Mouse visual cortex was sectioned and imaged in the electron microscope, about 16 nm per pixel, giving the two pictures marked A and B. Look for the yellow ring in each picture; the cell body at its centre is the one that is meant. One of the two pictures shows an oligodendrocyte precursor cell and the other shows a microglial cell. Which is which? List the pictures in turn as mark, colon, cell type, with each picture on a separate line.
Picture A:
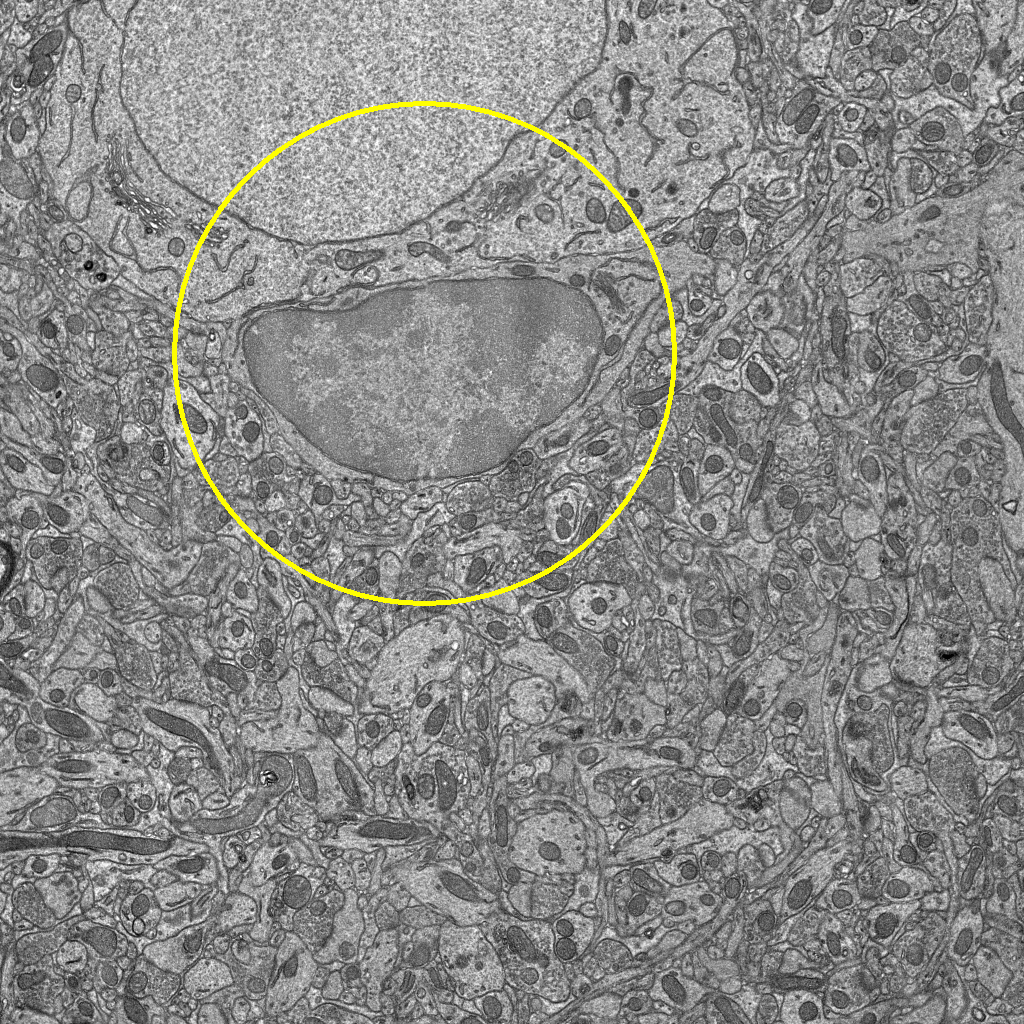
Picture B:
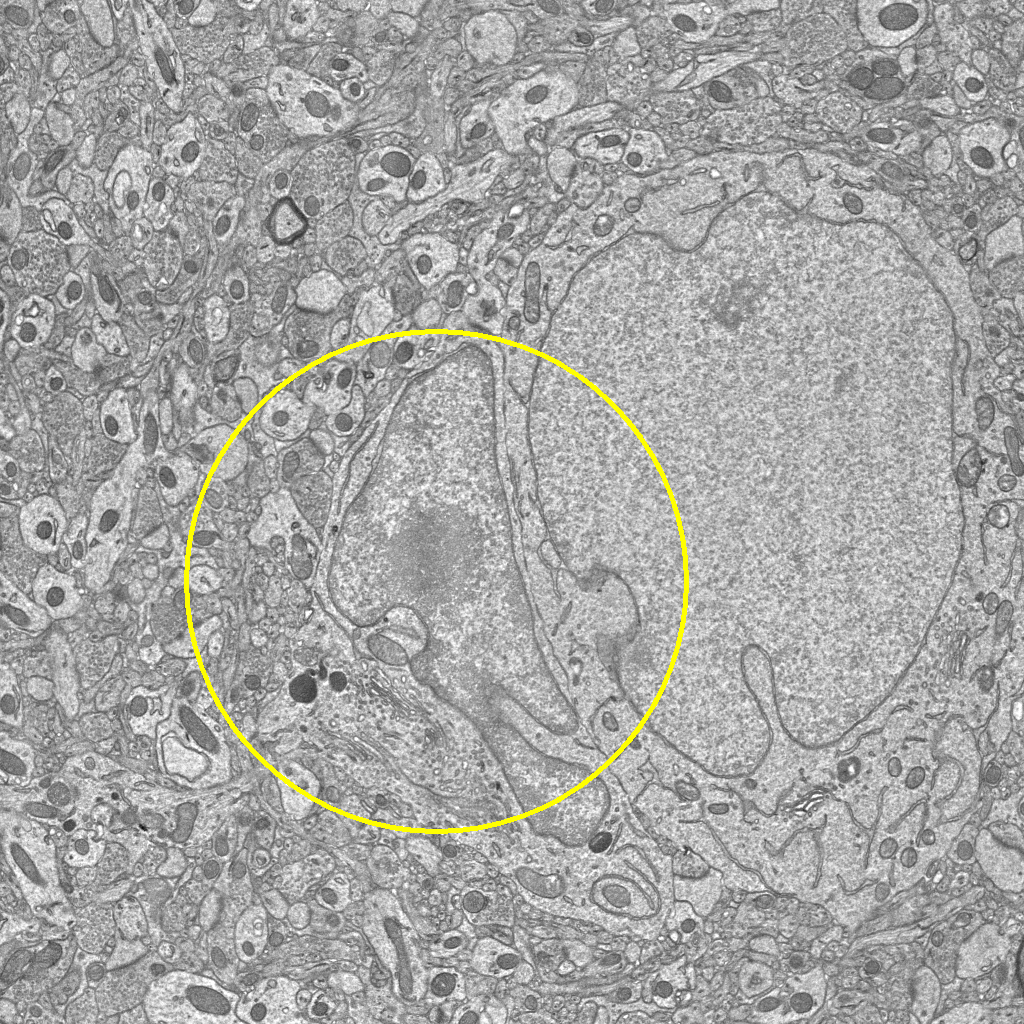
A: microglial cell
B: oligodendrocyte precursor cell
